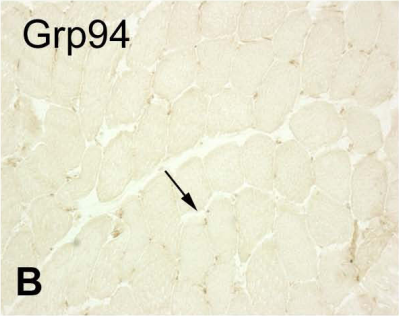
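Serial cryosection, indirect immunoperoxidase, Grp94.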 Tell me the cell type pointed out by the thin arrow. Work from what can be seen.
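The arrow points to a small stained spot in the space between muscle fibers. The marked element is far smaller than the surrounding fibers.
Answer: interstitial cells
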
